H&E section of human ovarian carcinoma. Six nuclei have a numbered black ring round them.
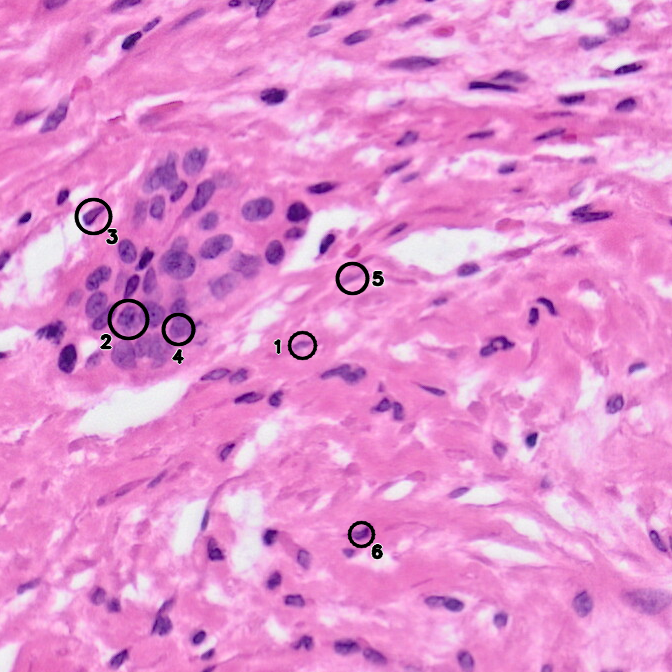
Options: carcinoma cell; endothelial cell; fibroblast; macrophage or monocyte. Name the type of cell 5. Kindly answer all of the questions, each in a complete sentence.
The one numbered 5 among the marked cells is a fibroblast.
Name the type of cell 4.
Corresponding to a carcinoma cell is the cell labelled 4.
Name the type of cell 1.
What the number 1 marks in this field is a fibroblast.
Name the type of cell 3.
The cell carrying label 3 is identified as a fibroblast.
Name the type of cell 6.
The cell whose nucleus carries the number 6 is a fibroblast.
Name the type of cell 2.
The mark numbered 2 indicates the nucleus of a carcinoma cell.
